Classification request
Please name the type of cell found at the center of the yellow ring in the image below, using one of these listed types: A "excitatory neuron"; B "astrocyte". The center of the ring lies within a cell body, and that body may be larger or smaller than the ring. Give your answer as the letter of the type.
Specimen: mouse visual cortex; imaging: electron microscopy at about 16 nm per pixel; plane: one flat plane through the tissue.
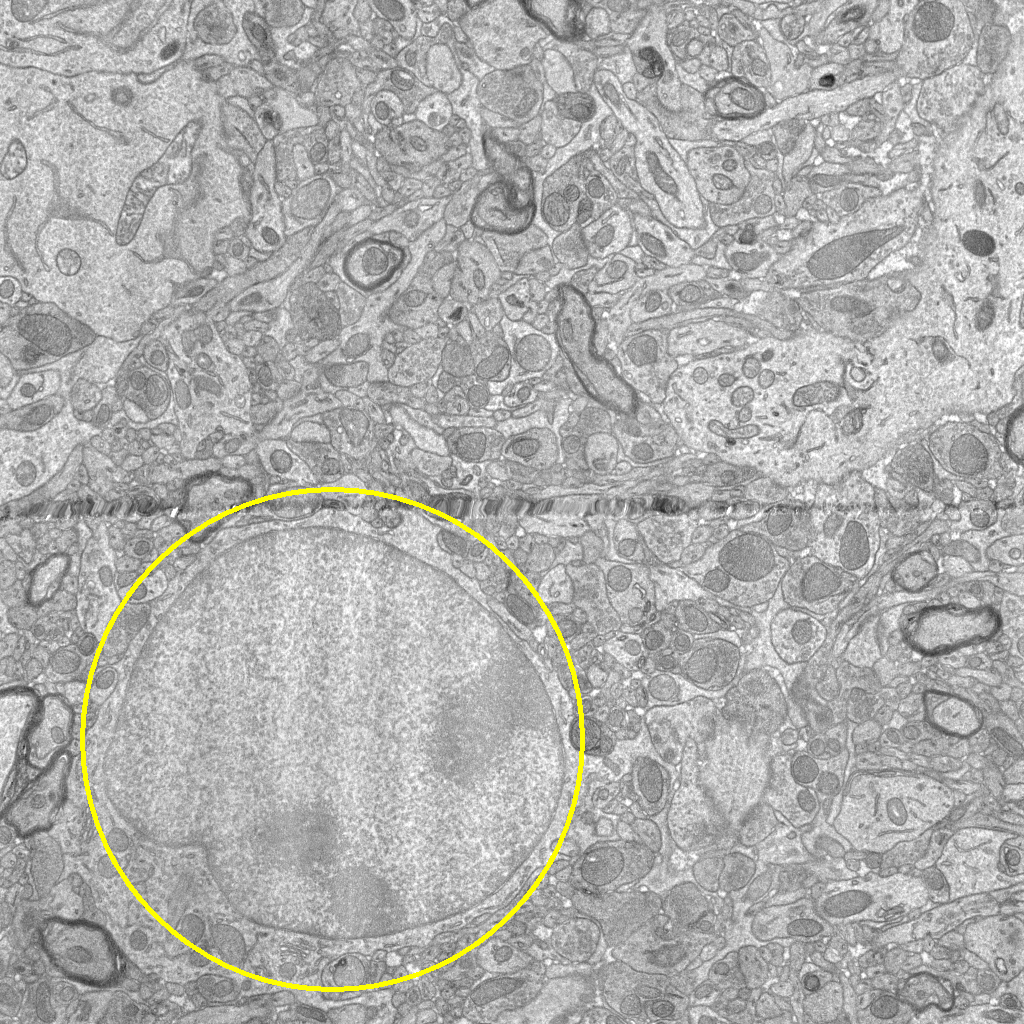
B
